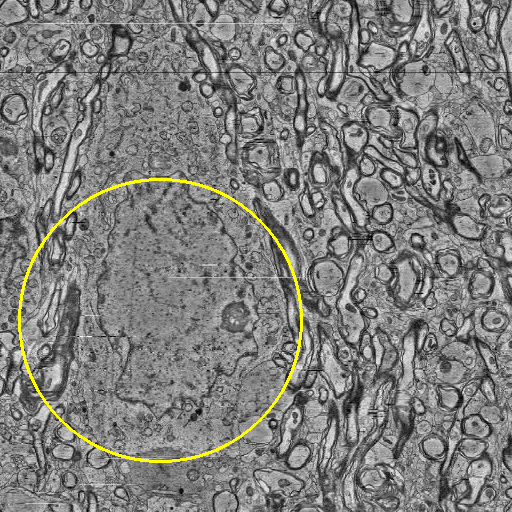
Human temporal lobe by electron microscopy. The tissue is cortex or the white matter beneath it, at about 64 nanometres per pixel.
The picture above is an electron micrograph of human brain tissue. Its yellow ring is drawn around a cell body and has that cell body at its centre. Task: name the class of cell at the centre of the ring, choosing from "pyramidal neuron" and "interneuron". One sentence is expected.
The ring surrounds the body of a pyramidal neuron.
